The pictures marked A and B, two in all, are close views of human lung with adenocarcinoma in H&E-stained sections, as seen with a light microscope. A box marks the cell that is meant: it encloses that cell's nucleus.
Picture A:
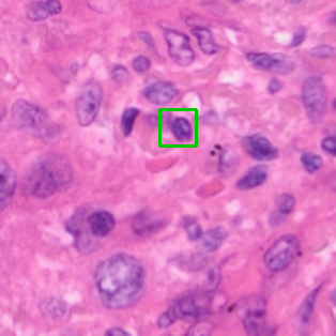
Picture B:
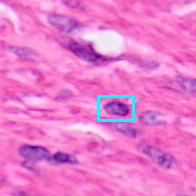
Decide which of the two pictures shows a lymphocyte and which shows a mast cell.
A: lymphocyte
B: mast cell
